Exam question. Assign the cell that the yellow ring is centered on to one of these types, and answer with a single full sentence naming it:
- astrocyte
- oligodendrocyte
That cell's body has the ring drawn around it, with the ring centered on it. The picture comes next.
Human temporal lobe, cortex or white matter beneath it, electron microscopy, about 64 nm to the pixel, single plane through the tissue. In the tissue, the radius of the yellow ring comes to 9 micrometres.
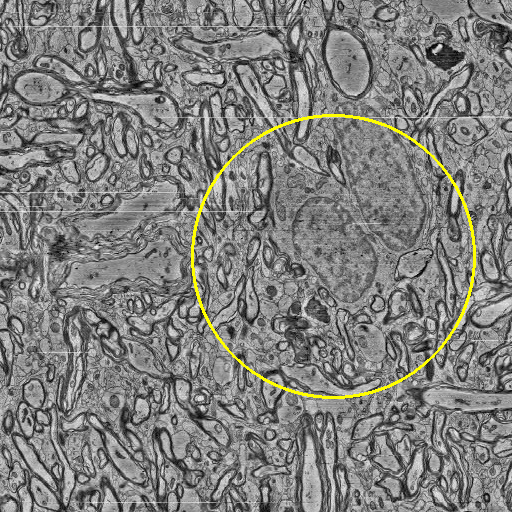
In the micrograph, the cell the yellow ring is centered on is an oligodendrocyte.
